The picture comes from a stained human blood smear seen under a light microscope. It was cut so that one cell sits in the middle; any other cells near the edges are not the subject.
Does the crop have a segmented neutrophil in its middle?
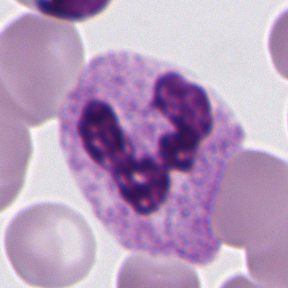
yes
